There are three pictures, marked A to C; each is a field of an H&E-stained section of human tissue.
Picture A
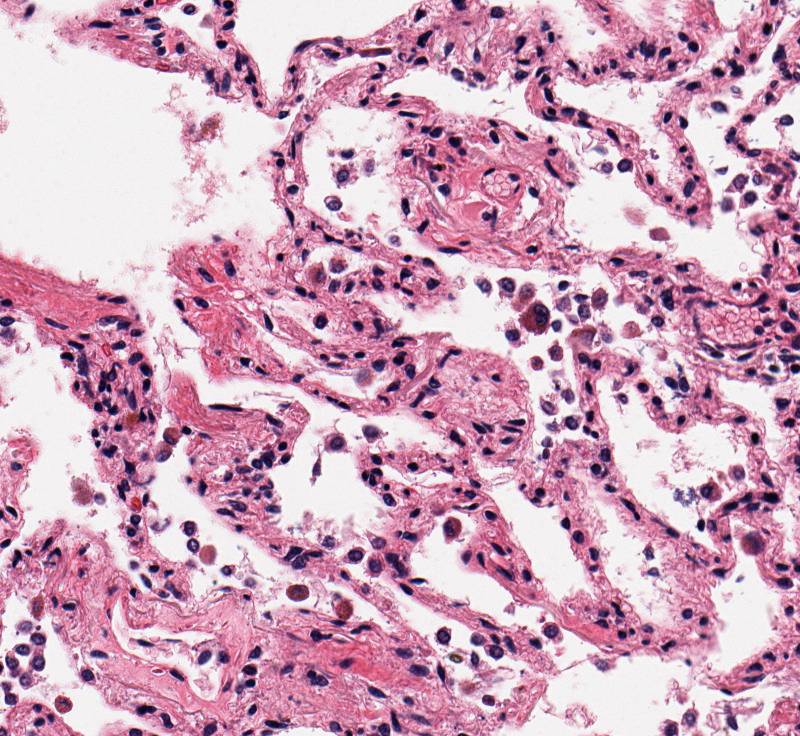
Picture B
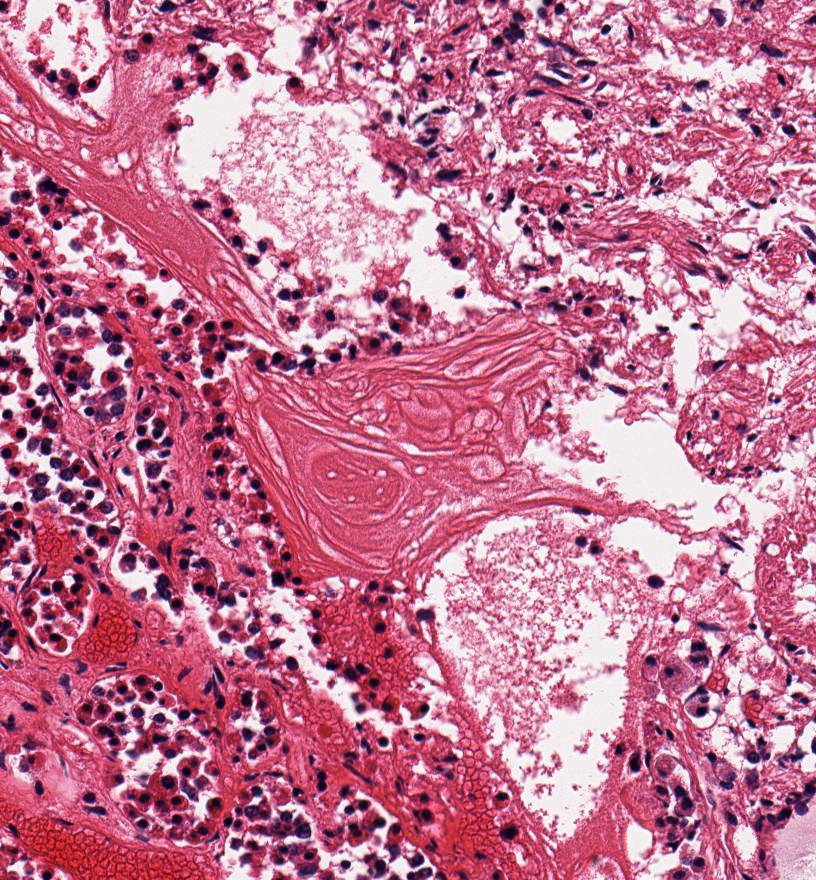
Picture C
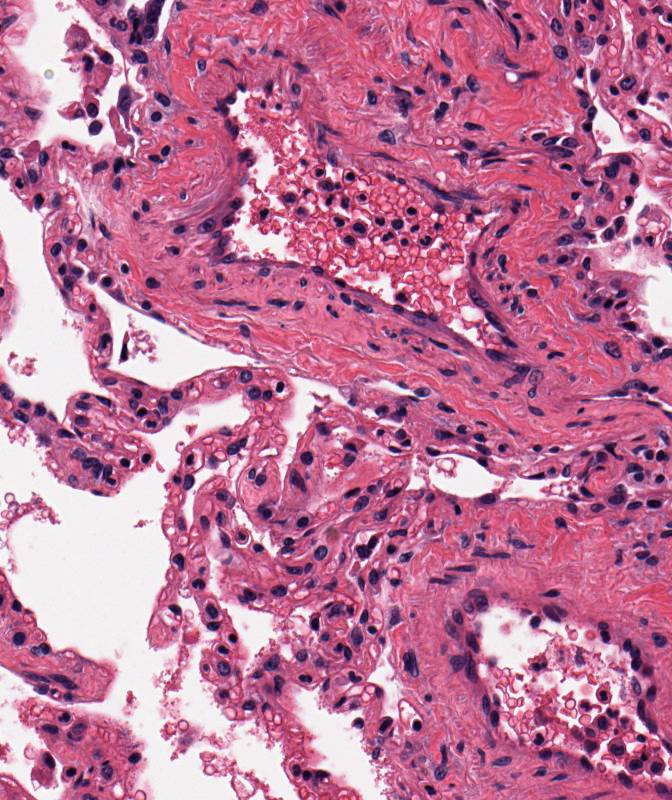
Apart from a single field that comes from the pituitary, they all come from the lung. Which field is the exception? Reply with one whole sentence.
The one that comes from the pituitary is picture B.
